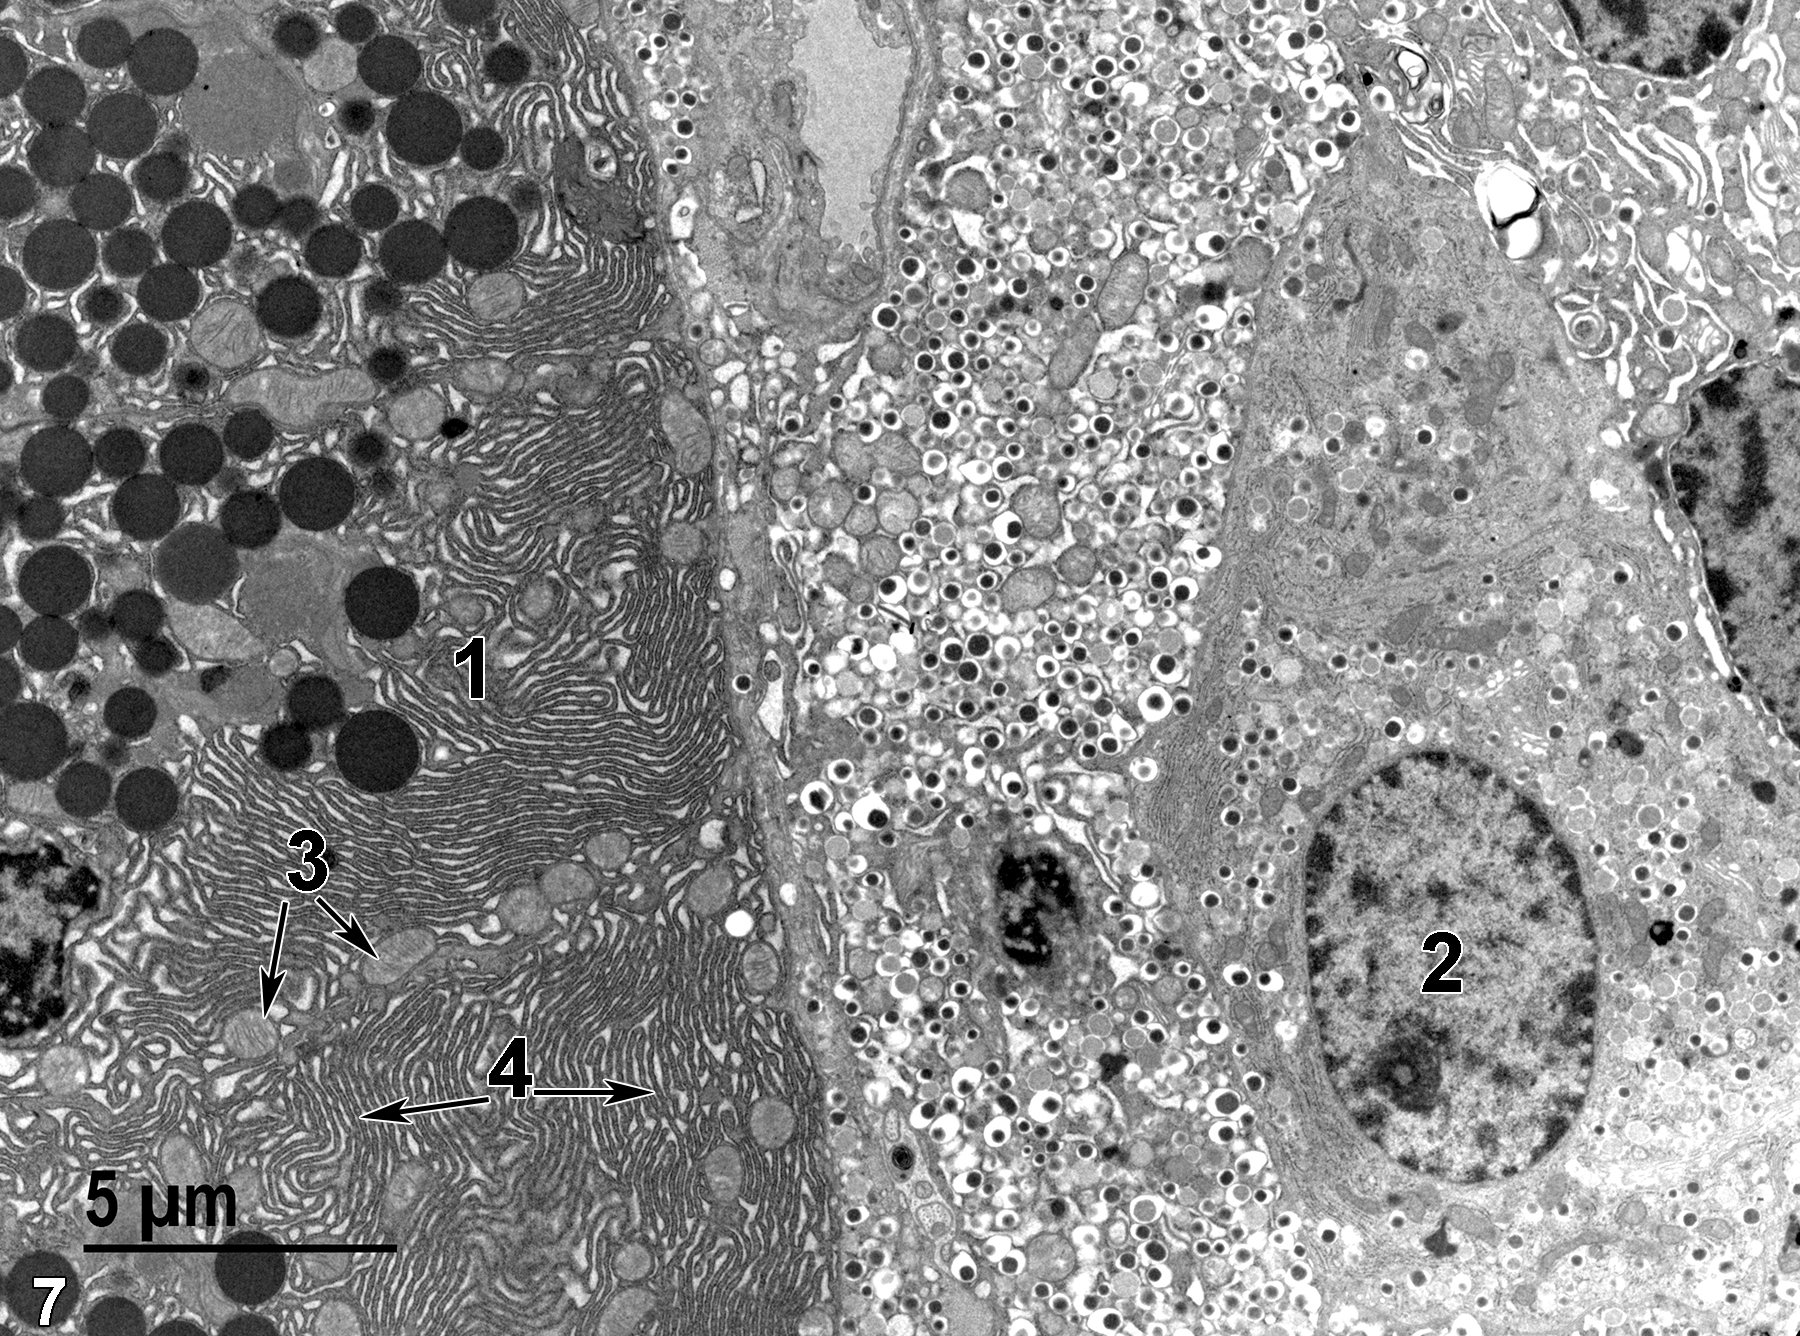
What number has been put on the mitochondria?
3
